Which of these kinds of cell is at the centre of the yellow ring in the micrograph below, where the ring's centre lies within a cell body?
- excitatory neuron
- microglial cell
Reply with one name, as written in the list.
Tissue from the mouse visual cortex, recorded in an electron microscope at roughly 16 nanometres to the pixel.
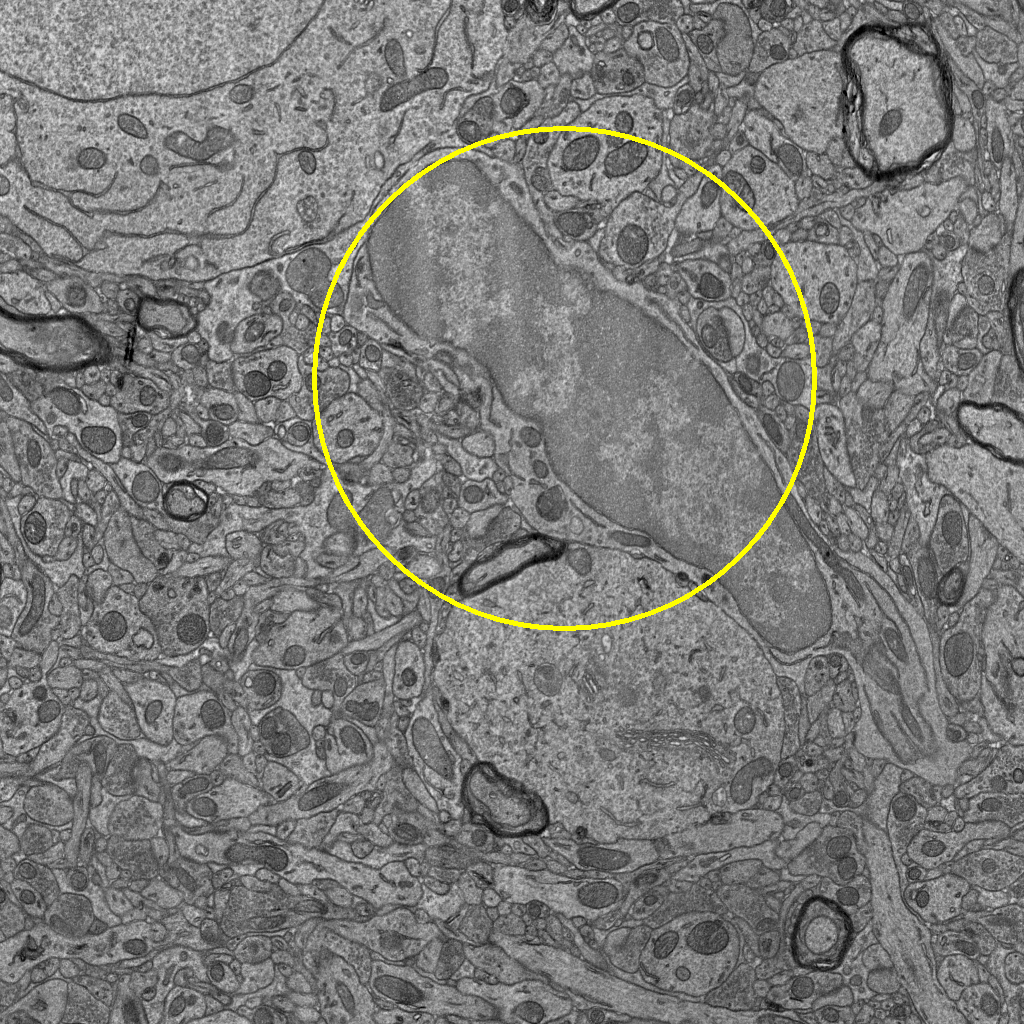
microglial cell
